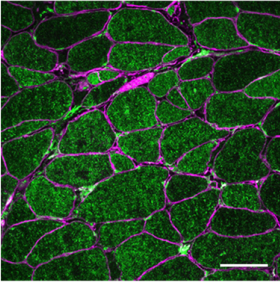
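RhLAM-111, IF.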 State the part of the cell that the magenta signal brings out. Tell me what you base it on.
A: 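Muscle fiber sarcolemma. Thin magenta rings surround each rounded fiber profile. Fiber interiors lie inside the magenta rings.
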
